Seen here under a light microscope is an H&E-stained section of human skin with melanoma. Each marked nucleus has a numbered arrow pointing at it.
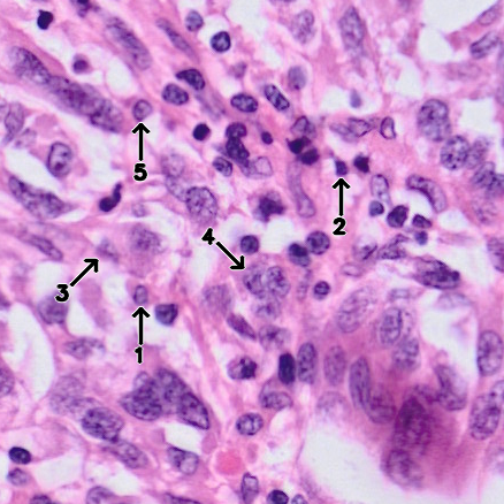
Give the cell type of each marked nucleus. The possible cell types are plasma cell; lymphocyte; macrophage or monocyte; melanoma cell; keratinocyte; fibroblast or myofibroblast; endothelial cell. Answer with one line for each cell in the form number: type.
1: macrophage or monocyte
2: lymphocyte
3: melanoma cell
4: melanoma cell
5: macrophage or monocyte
